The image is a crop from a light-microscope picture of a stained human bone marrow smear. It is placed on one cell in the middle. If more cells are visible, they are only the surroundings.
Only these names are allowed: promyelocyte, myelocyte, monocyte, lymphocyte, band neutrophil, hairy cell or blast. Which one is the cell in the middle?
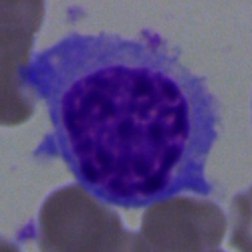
hairy cell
